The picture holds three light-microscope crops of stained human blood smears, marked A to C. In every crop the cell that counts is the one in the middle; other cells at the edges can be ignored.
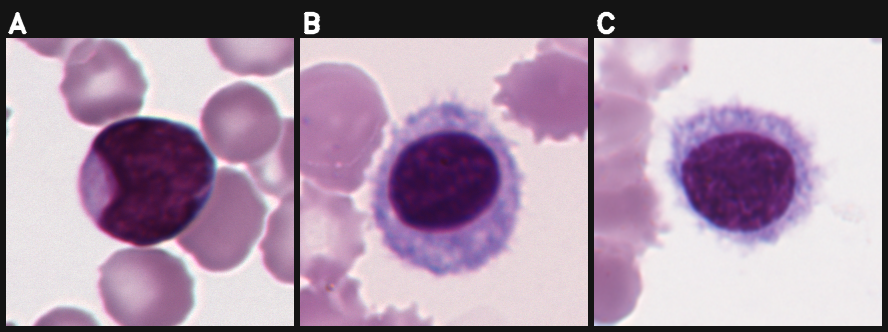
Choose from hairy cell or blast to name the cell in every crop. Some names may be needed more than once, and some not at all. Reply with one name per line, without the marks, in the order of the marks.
blast
hairy cell
hairy cell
